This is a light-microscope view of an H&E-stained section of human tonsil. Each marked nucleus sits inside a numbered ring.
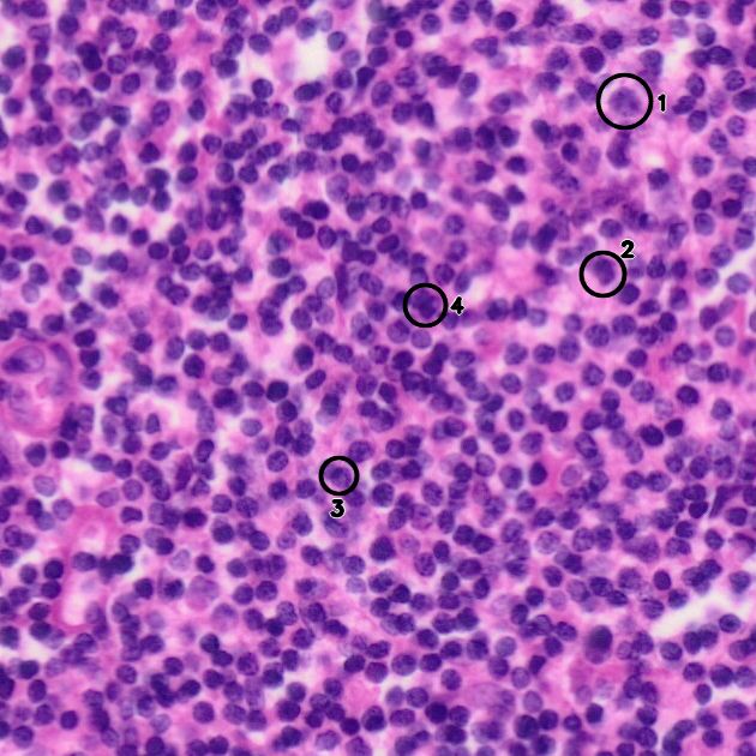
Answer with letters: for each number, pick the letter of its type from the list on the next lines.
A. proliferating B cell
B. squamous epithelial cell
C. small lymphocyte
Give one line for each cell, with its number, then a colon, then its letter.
1: A
2: A
3: C
4: C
